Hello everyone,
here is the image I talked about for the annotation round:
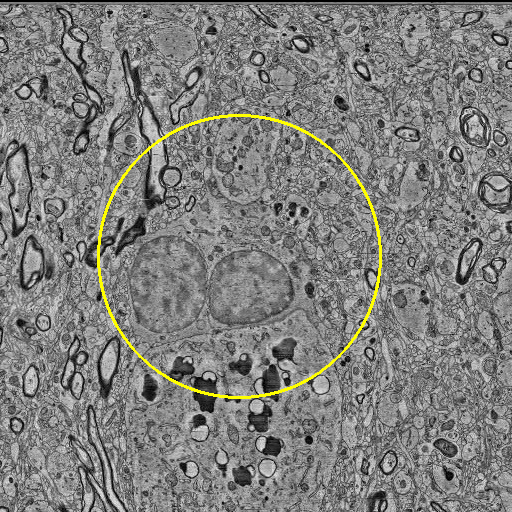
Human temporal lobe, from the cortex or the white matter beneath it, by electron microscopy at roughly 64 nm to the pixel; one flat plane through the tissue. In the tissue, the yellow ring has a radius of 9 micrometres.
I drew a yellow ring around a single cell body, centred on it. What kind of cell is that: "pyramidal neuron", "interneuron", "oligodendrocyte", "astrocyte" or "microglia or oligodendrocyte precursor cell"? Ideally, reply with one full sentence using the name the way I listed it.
The cell your yellow ring is centred on is an oligodendrocyte, going by your list.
